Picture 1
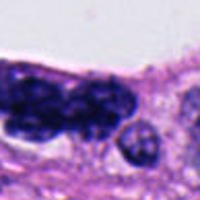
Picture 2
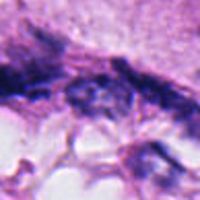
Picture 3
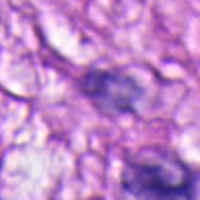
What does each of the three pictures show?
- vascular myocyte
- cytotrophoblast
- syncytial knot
1. syncytial knot
2. cytotrophoblast
3. vascular myocyte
